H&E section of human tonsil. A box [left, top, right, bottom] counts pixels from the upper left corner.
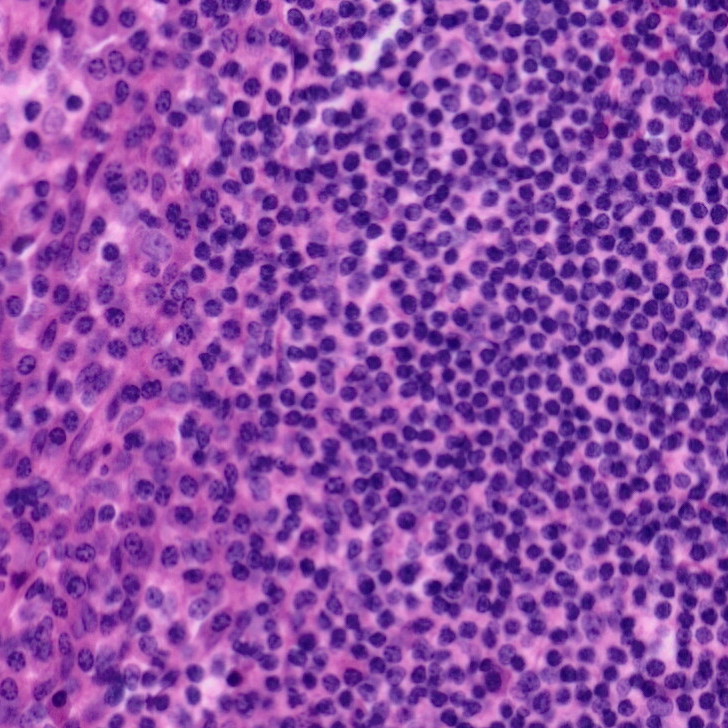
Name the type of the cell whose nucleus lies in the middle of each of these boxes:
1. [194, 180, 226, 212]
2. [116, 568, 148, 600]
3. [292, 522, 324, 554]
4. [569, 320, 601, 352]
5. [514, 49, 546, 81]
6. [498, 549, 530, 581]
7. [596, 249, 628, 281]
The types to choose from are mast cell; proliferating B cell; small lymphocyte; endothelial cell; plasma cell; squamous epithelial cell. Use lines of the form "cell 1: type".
cell 1: plasma cell
cell 2: plasma cell
cell 3: plasma cell
cell 4: small lymphocyte
cell 5: small lymphocyte
cell 6: small lymphocyte
cell 7: small lymphocyte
